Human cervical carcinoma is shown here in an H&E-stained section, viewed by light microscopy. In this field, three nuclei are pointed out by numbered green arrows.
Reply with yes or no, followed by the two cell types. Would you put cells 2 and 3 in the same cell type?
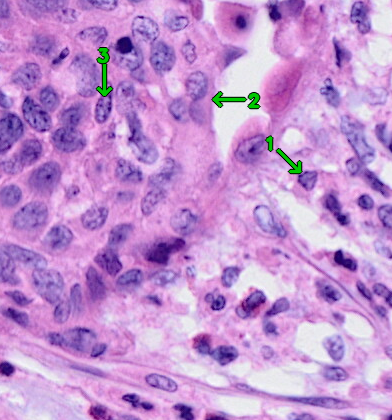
Yes, going by number, cells 2 and 3 are both squamous carcinoma cells.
